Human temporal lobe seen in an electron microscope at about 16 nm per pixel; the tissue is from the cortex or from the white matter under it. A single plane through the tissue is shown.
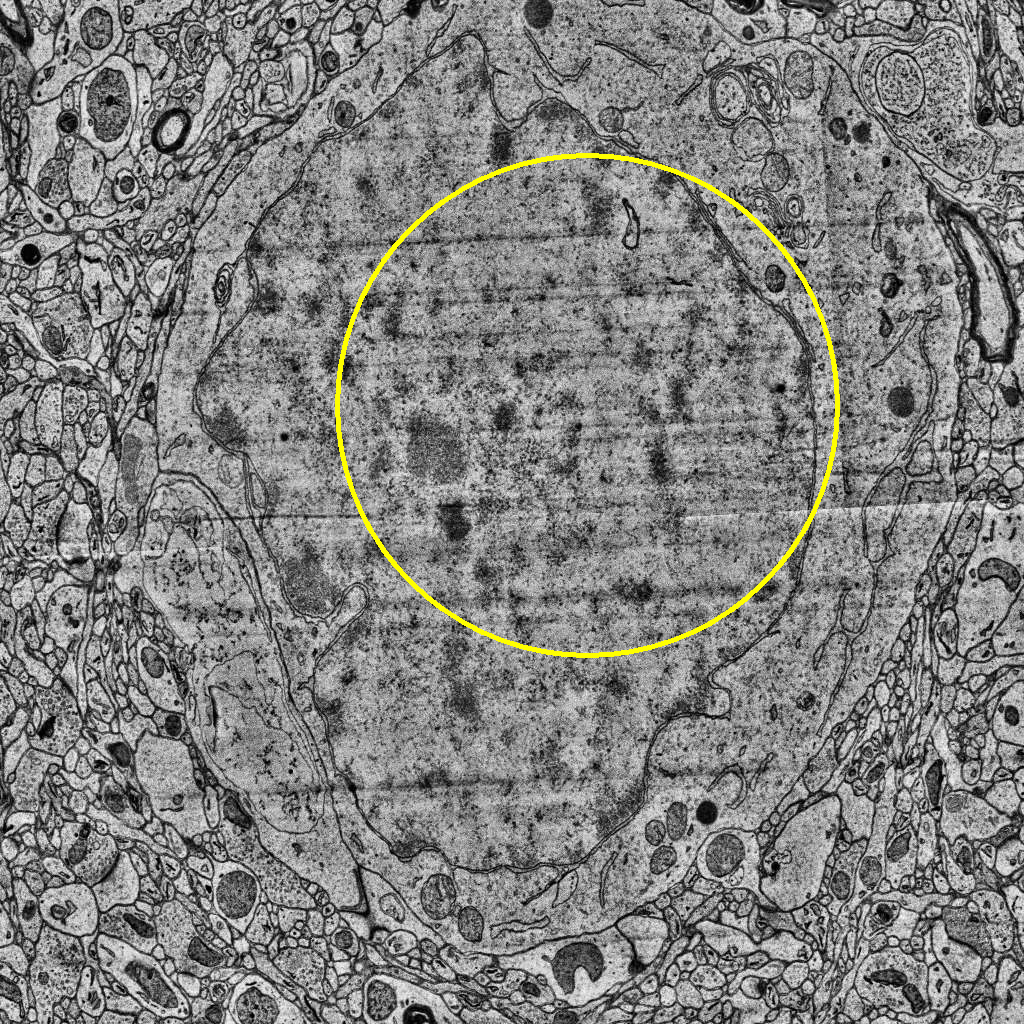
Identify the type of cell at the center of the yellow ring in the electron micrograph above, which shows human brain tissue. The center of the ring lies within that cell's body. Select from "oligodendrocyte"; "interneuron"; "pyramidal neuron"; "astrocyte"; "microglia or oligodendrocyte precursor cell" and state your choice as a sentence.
The center of the yellow ring lies in the body of an interneuron.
